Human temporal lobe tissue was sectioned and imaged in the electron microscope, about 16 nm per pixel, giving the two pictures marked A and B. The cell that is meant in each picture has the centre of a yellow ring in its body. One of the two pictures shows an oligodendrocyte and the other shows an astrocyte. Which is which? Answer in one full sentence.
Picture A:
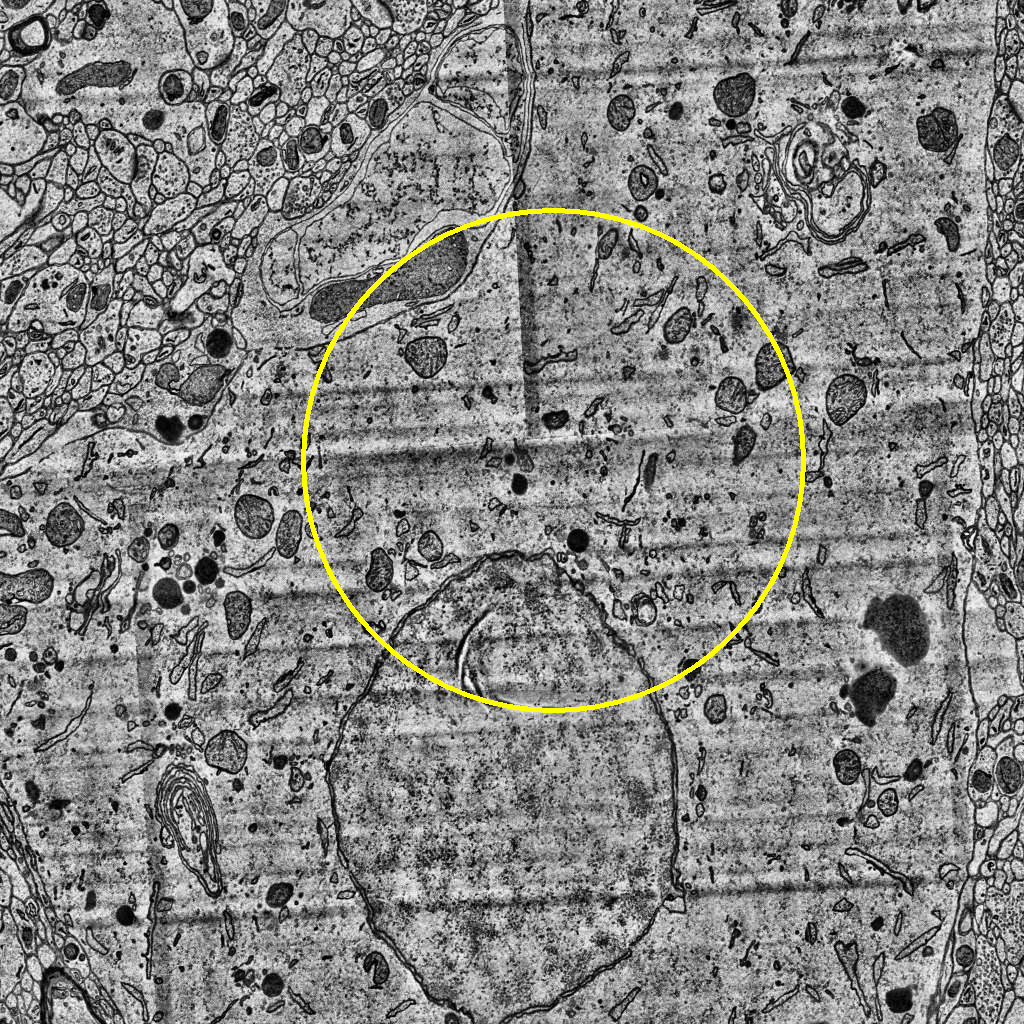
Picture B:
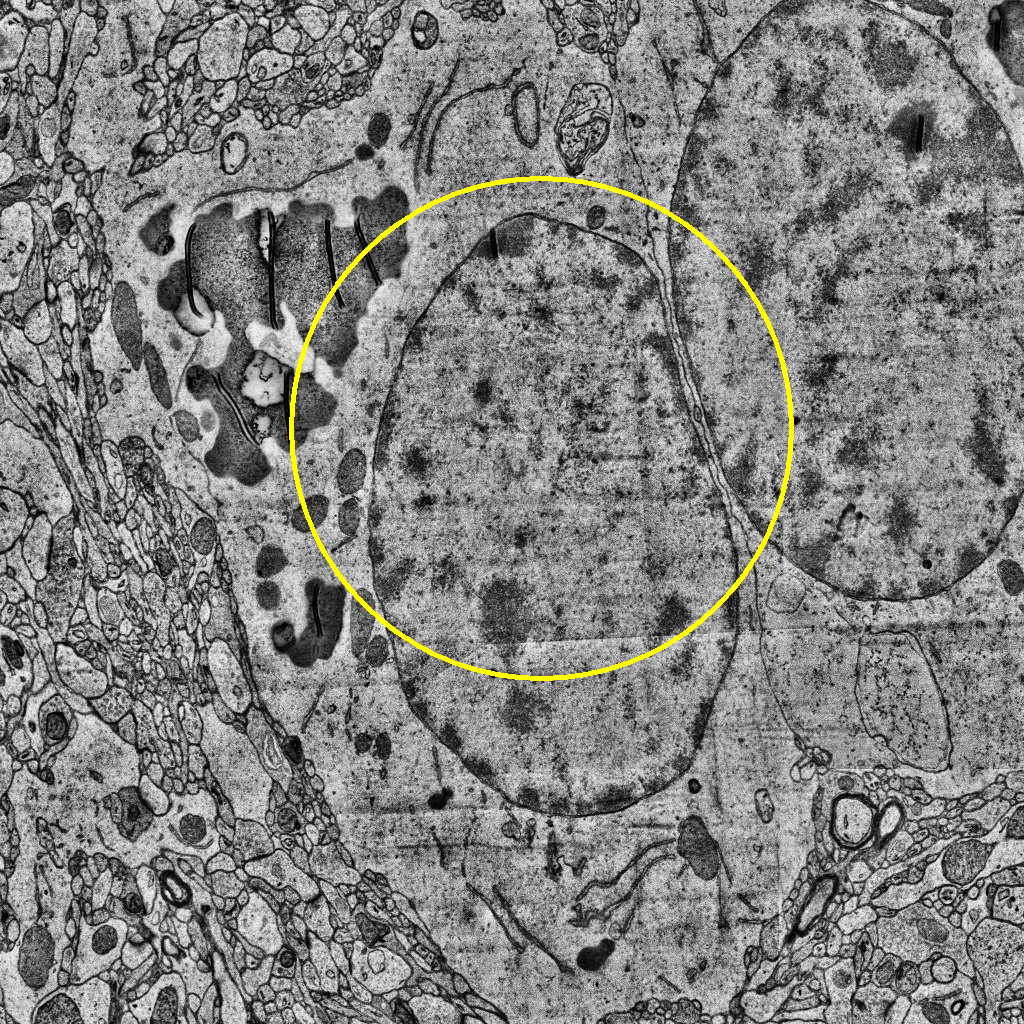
It is picture A that shows an oligodendrocyte, and picture B that shows an astrocyte.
